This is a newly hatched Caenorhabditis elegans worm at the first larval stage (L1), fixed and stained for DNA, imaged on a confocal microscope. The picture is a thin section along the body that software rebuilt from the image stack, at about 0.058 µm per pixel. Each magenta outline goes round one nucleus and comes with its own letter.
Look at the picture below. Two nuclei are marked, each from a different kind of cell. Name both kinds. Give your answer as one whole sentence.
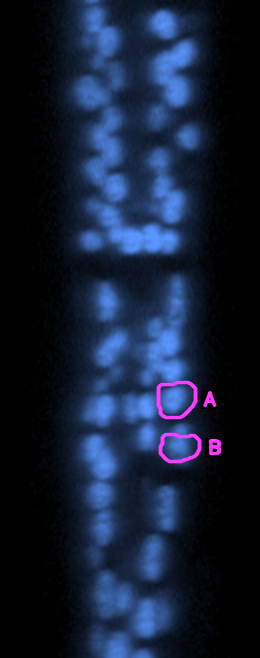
The nucleus A is that of a neuron, while B is that of a body wall muscle cell.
